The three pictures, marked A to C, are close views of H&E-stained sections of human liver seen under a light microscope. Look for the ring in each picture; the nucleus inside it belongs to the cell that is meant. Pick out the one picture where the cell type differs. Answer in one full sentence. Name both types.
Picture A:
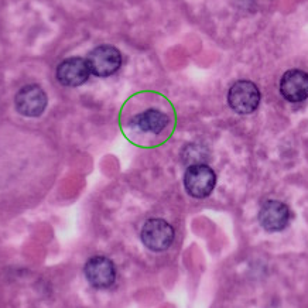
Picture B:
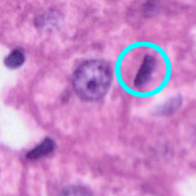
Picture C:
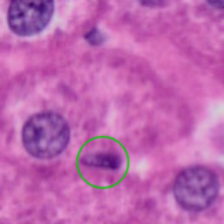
Picture C is the odd one out: it shows an endothelial cell, while the others show “fibroblasts or stellate cells”.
